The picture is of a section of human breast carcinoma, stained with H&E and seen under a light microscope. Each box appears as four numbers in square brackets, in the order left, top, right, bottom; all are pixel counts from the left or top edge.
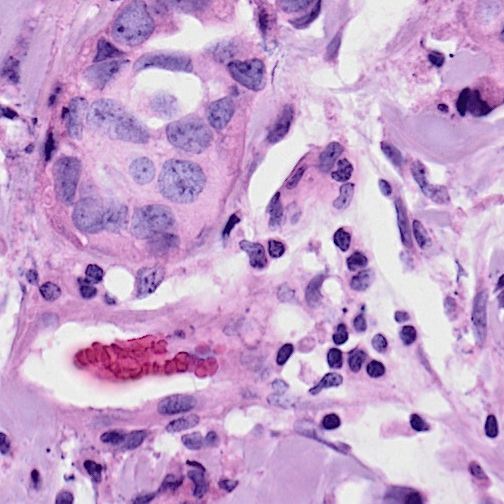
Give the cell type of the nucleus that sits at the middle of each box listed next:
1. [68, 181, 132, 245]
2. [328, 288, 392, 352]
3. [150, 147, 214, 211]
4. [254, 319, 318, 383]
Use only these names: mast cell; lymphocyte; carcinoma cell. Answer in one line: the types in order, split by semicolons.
carcinoma cell; lymphocyte; carcinoma cell; lymphocyte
